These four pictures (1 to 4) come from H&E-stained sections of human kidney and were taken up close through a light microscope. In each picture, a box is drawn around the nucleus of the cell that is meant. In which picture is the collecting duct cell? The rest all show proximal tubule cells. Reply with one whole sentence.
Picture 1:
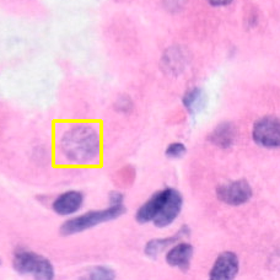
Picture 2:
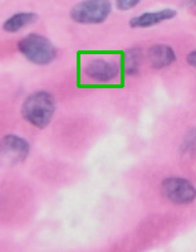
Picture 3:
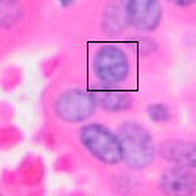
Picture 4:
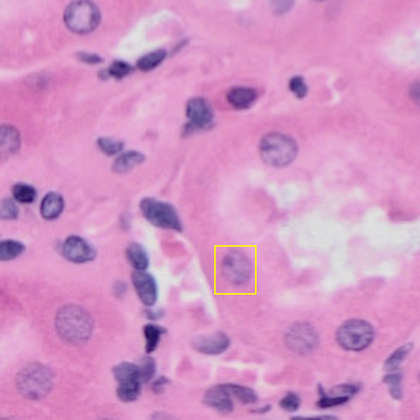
The cell in picture 3 is the collecting duct cell.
